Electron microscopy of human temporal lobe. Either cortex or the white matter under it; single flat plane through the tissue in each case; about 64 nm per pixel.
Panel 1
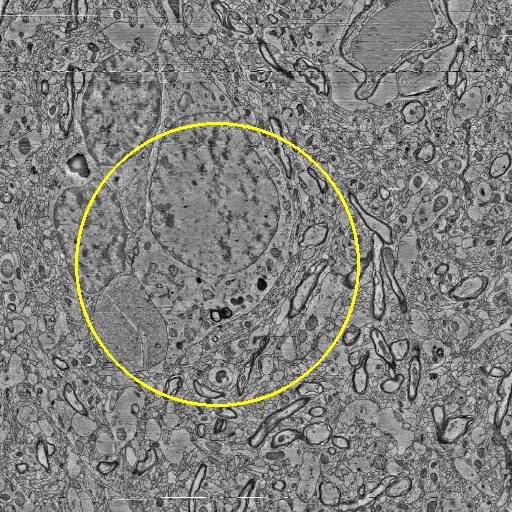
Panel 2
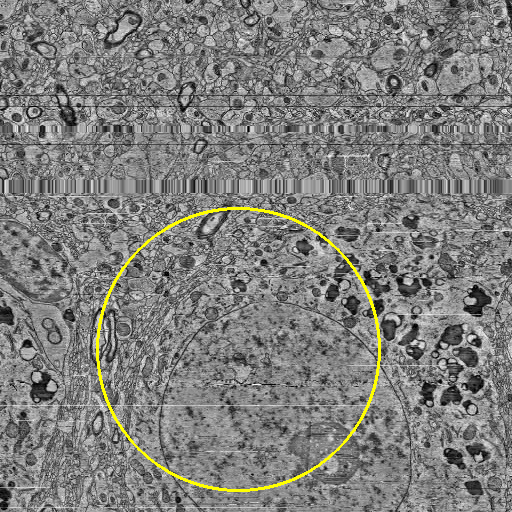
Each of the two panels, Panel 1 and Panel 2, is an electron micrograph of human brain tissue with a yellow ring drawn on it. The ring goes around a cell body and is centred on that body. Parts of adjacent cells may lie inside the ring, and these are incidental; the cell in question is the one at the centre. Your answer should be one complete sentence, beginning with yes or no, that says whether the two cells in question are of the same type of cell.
Yes, the two cells are of the same type.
